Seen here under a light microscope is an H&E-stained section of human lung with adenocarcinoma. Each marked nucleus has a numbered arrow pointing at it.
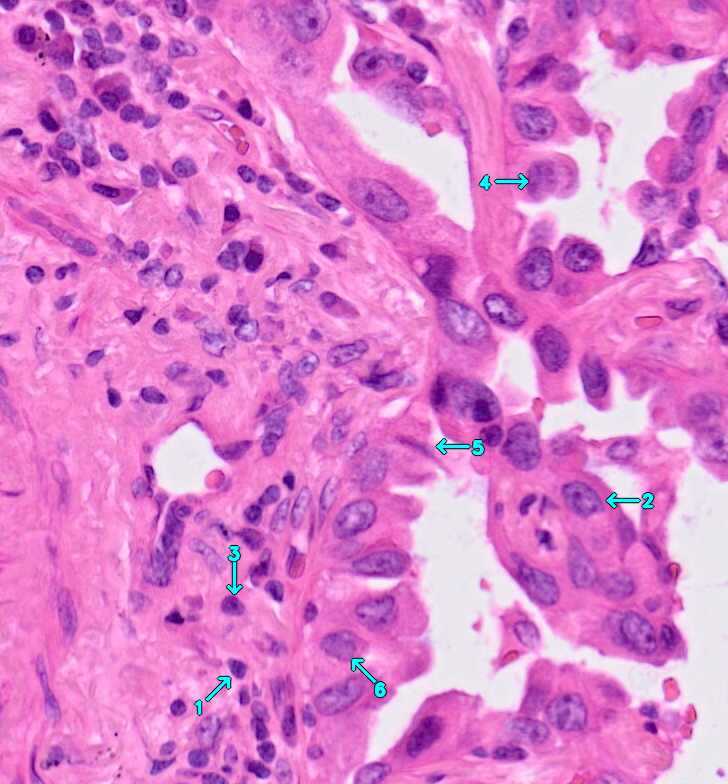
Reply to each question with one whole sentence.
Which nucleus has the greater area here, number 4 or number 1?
Nucleus 4 is larger, with an area about 2.5 times that of nucleus 1.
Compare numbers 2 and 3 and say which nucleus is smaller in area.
Nucleus 3 covers less area, with nucleus 2 about 2.5 times as large.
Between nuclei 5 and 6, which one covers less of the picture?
The smaller nucleus is 5, and 6 covers roughly 2 times its area.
